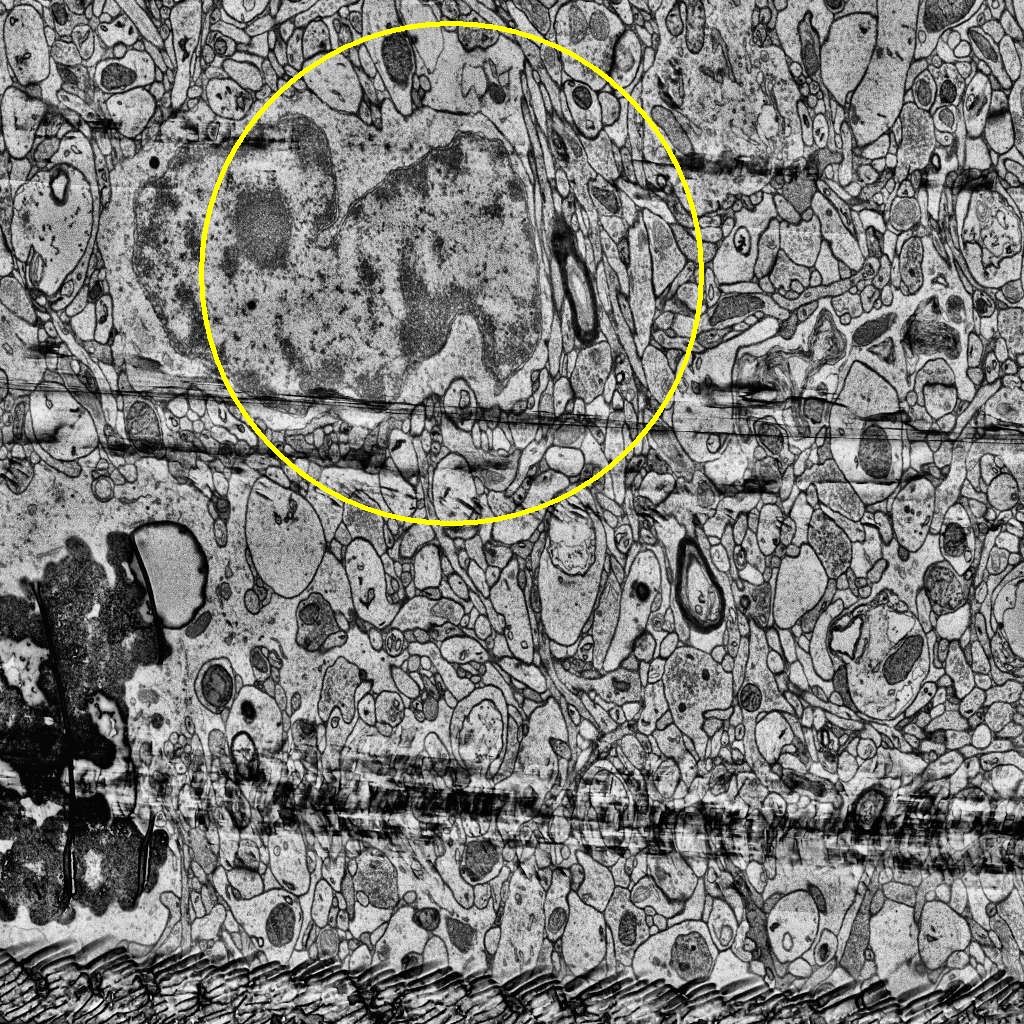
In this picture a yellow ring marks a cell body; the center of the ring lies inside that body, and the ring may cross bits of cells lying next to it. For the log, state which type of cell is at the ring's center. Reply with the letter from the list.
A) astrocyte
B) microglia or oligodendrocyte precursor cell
B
